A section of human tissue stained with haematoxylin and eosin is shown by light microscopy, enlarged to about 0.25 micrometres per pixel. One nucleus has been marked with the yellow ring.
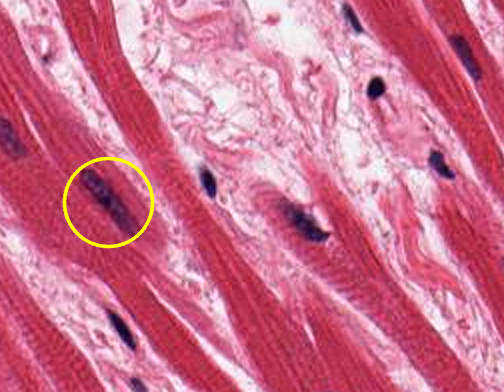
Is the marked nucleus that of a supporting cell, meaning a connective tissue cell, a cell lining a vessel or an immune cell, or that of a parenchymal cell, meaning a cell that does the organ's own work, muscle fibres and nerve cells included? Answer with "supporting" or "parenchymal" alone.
parenchymal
